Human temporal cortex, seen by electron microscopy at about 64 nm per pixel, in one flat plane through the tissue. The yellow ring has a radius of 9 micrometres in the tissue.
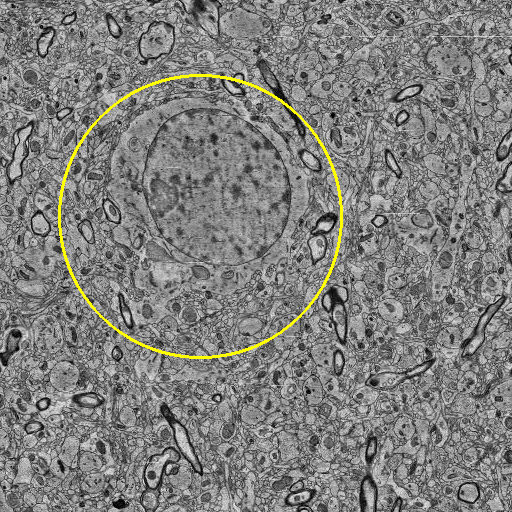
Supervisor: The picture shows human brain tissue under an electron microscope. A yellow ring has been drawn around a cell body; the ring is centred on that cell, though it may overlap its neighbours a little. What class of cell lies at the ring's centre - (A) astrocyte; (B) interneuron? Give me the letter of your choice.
A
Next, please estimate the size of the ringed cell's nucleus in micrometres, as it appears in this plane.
The nucleus measures about 11 by 9 micrometres in this plane.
